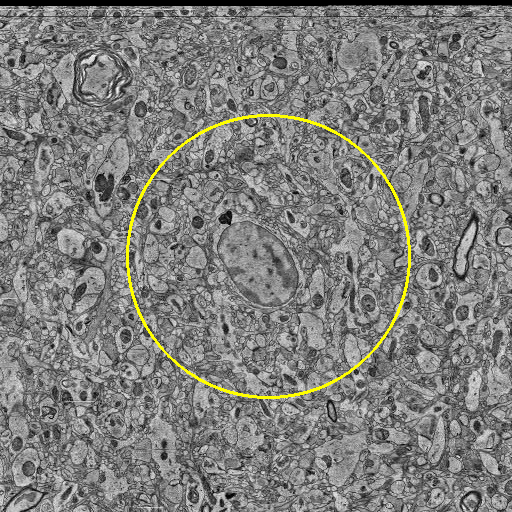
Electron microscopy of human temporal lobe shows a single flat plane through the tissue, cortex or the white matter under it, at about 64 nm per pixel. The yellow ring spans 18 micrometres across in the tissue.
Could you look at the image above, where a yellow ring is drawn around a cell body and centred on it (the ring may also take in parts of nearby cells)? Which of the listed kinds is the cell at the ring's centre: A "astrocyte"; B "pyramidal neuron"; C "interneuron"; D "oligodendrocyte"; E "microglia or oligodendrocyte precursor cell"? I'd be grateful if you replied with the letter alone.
E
